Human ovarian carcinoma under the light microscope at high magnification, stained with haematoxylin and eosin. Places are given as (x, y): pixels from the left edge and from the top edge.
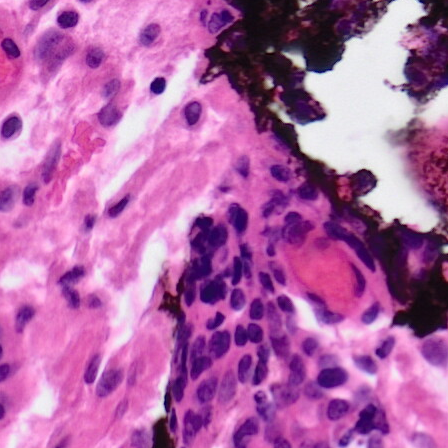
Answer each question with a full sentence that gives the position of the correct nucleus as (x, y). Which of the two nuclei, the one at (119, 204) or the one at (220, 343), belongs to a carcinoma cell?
The nucleus situated at (220, 343) is the one belonging to a carcinoma cell.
